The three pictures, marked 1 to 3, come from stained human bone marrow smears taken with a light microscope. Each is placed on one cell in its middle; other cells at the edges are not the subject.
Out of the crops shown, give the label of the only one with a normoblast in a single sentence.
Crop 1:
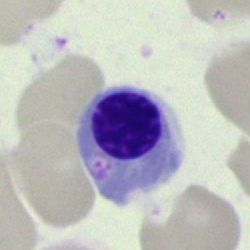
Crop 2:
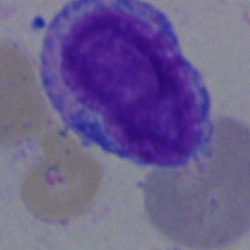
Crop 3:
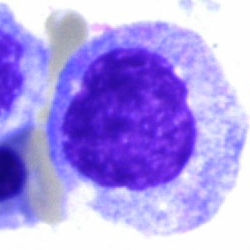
In the set of crops, crop 1 is the one that contains a normoblast.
